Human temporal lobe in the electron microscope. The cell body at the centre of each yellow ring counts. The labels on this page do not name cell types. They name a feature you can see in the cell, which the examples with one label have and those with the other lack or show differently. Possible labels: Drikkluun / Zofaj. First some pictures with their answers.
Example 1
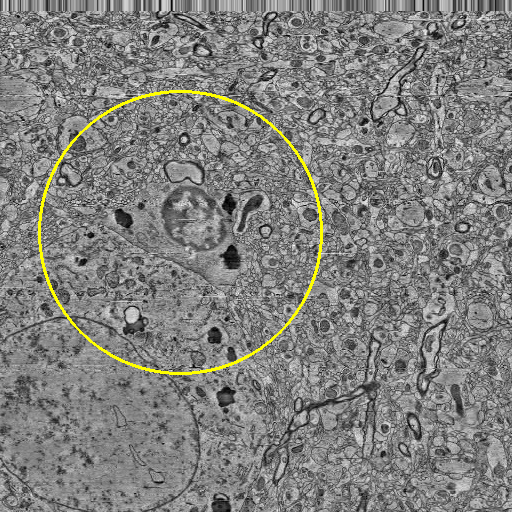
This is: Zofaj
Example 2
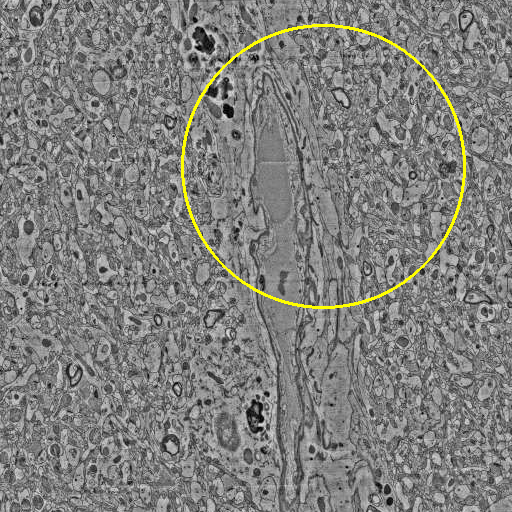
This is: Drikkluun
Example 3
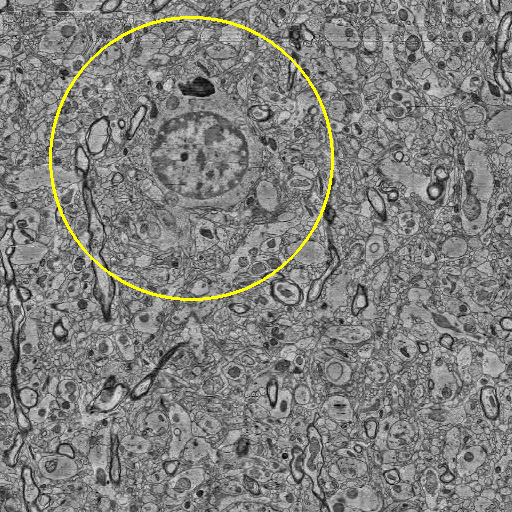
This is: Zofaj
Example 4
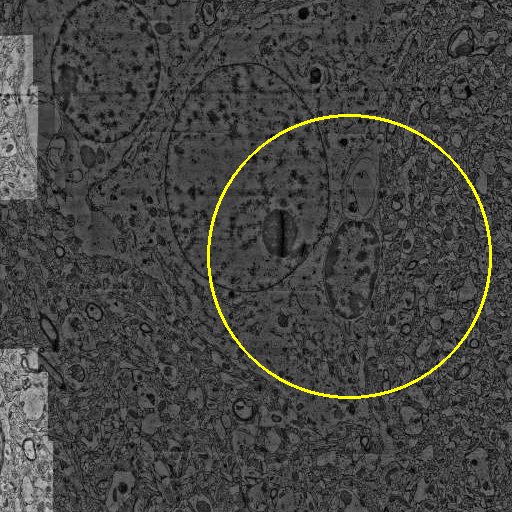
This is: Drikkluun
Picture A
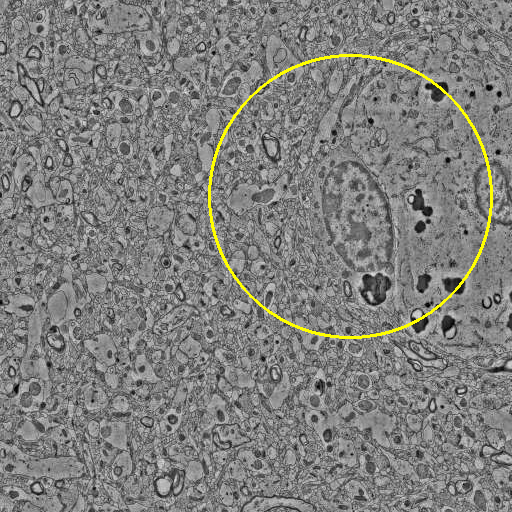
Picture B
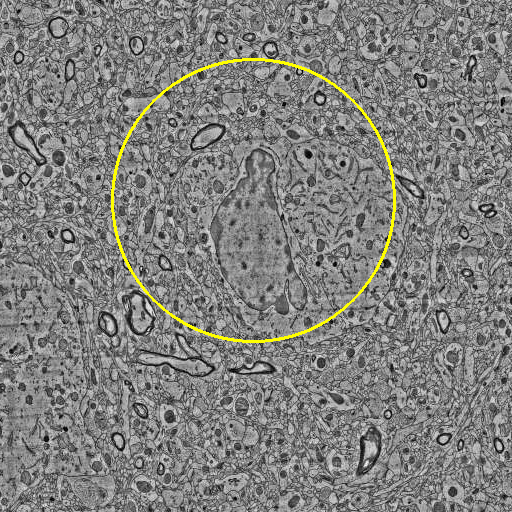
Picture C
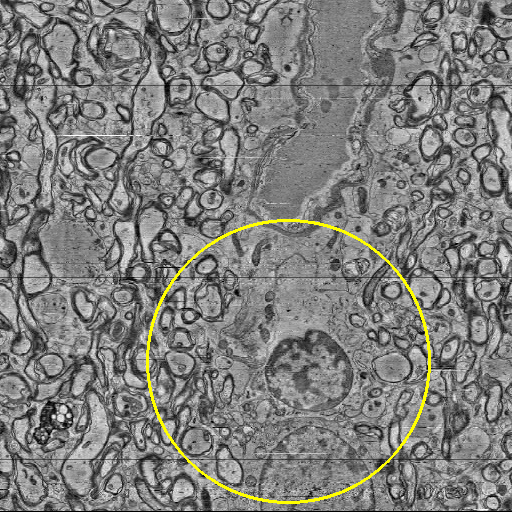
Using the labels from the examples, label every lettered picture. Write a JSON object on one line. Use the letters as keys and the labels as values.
{"A": "Drikkluun", "B": "Drikkluun", "C": "Zofaj"}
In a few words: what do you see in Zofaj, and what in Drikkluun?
In Zofaj: round or nearly round nuclei. In Drikkluun: clearly elongated nuclei.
